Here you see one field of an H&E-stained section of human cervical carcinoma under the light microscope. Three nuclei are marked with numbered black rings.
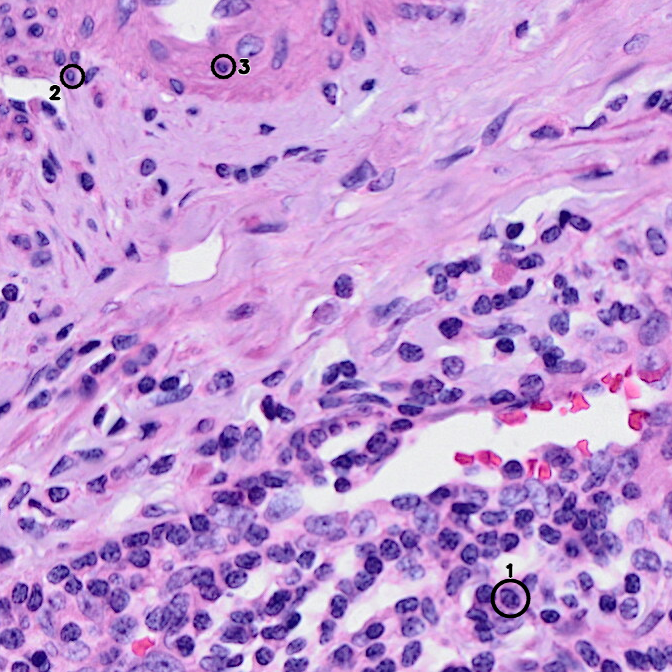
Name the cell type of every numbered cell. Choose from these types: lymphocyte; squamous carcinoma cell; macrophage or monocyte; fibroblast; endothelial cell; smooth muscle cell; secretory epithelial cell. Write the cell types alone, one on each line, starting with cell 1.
lymphocyte
smooth muscle cell
smooth muscle cell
